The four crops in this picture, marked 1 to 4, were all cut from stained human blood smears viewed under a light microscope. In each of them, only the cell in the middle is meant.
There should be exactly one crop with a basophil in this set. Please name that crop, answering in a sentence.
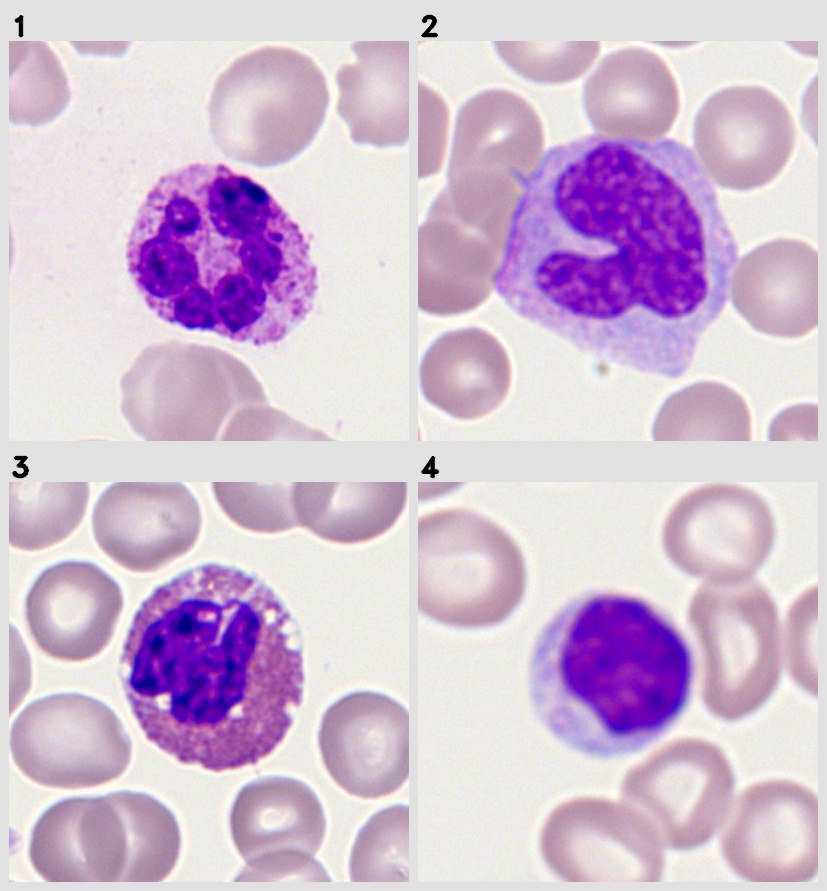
Of these crops, it is crop 1 that shows a basophil.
